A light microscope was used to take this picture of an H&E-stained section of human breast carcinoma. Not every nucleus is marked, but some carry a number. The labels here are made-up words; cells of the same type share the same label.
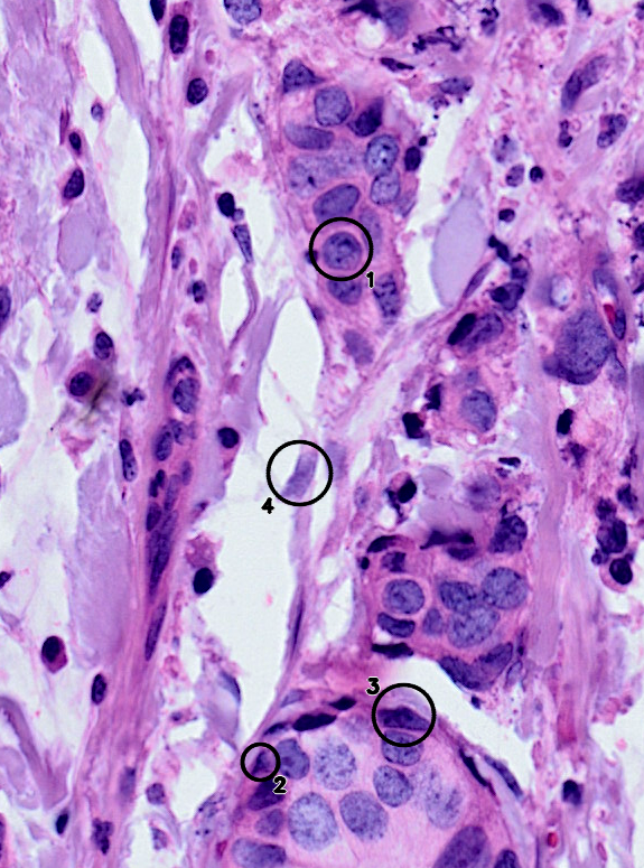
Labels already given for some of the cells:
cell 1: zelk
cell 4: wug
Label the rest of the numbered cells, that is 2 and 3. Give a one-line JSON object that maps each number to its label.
{"2": "zelk", "3": "zelk"}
